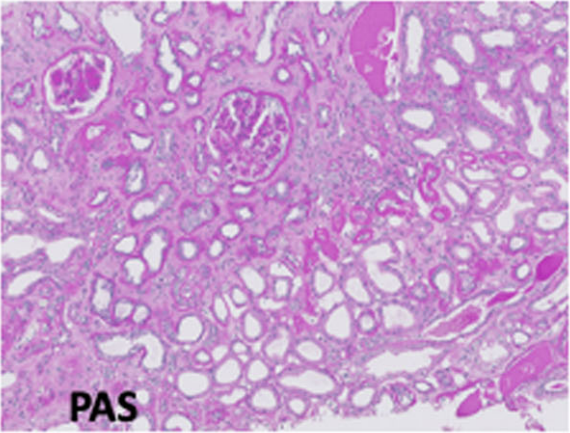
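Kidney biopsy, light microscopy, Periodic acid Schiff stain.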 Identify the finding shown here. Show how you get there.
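Nodular glomerular sclerosis. Glomeruli contain rounded, strongly magenta-stained nodules of expanded matrix.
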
